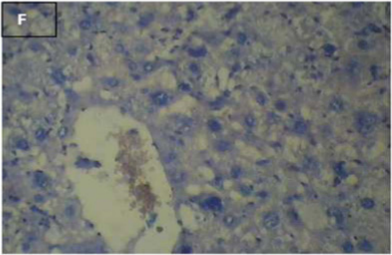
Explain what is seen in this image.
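Liver with hepatocytes and a central vein, the vein an oval clear lumen at lower left holding a clump of reddish-brown blood cells. The hepatocytes are polygonal, with round dark blue nuclei and pale, finely vacuolated-looking cytoplasm.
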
